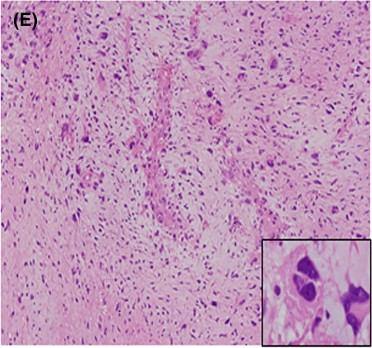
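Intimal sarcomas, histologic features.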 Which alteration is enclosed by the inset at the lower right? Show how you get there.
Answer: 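Atypical pleomorphic cells. The inset shows large cells with irregular, dark, bizarre nuclei. These nuclei are much larger than the surrounding spindle cell nuclei.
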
